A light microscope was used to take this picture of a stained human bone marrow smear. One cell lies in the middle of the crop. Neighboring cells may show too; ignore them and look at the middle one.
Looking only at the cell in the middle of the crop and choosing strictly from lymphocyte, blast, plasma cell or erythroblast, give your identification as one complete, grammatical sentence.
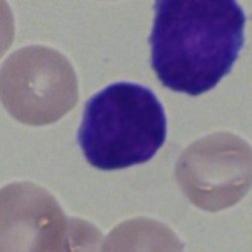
Regarding the central cell, it is a lymphocyte.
